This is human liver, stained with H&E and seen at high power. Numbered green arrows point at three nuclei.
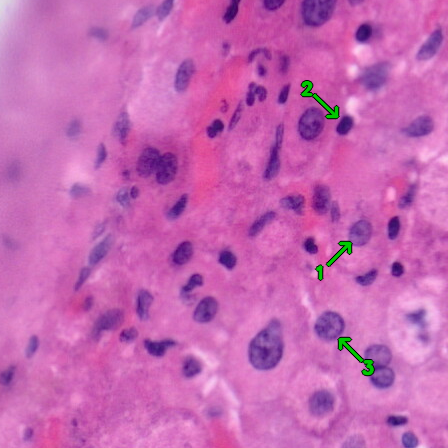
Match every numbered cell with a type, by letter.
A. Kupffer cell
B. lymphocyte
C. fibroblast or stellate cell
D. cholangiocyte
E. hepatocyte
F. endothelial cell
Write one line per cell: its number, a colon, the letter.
1: E
2: B
3: E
